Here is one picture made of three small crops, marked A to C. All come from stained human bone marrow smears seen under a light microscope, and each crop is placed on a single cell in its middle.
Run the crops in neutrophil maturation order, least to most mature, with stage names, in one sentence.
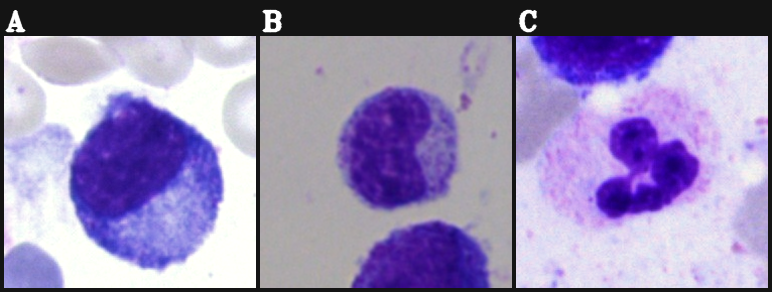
The crops, ordered from least to most mature, are crop A (a promyelocyte), crop B (a metamyelocyte) and crop C (a segmented neutrophil).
